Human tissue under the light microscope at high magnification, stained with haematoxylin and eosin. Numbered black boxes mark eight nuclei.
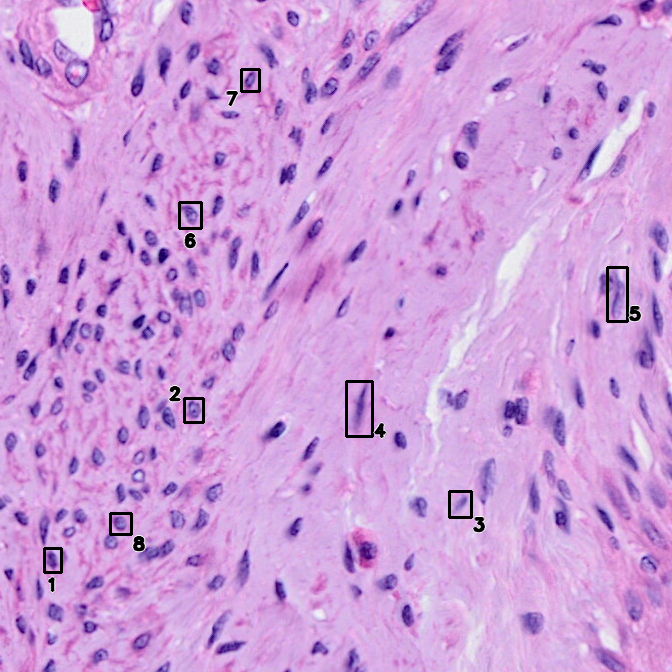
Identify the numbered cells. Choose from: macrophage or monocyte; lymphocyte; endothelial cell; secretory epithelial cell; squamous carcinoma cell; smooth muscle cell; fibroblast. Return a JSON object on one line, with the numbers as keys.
{"1": "smooth muscle cell", "2": "smooth muscle cell", "3": "fibroblast", "4": "fibroblast", "5": "fibroblast", "6": "smooth muscle cell", "7": "smooth muscle cell", "8": "smooth muscle cell"}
